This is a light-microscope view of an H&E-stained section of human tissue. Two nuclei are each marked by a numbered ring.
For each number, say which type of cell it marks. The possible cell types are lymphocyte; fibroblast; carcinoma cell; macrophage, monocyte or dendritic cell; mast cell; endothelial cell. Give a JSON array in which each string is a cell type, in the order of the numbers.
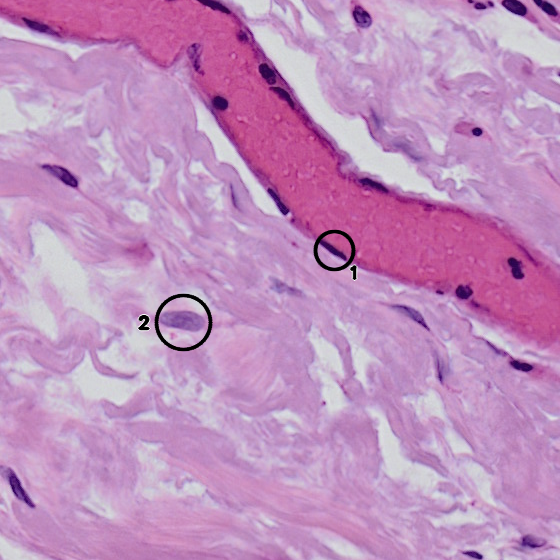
["endothelial cell", "fibroblast"]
